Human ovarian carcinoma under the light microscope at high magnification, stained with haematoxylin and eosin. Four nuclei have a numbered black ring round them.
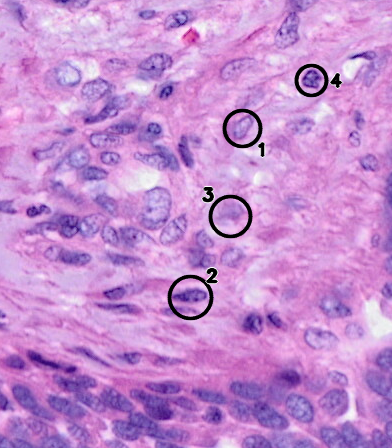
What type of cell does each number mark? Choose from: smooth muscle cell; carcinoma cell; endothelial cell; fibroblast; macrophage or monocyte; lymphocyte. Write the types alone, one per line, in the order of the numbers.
fibroblast
macrophage or monocyte
fibroblast
lymphocyte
